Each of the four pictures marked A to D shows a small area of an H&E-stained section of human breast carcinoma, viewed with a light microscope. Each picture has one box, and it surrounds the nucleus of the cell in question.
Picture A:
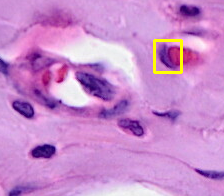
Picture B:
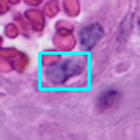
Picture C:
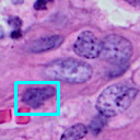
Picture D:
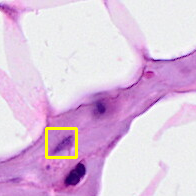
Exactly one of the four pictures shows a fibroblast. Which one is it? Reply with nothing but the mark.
D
